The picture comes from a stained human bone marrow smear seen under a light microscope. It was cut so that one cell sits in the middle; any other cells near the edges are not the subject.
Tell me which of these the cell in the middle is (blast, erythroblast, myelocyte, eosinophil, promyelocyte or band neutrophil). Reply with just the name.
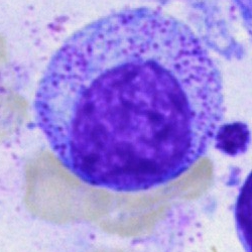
myelocyte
